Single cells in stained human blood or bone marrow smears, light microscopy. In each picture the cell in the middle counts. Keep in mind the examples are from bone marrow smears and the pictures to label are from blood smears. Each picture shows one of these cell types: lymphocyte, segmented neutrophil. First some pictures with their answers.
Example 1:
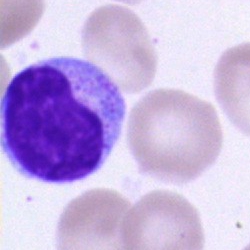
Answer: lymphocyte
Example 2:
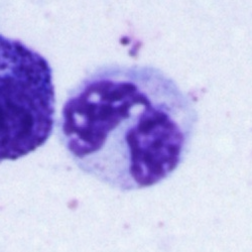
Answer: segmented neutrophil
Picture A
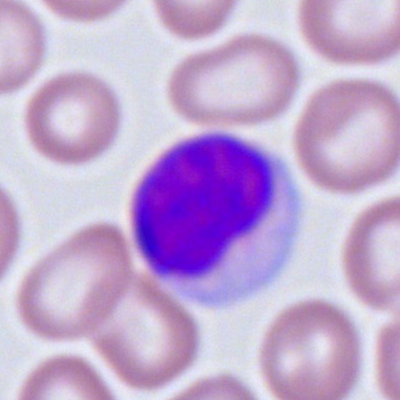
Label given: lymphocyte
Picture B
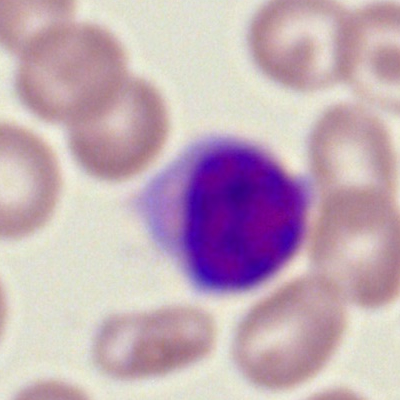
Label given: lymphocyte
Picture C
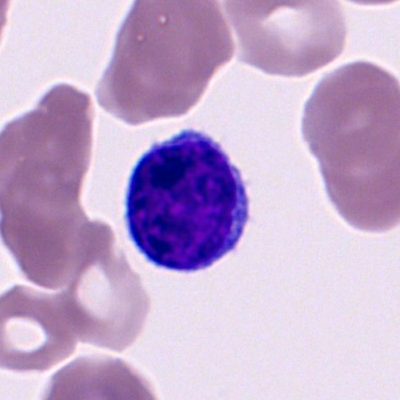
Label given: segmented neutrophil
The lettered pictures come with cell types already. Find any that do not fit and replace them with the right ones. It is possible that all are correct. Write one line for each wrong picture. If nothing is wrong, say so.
C is labelled segmented neutrophil; correct label: lymphocyte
